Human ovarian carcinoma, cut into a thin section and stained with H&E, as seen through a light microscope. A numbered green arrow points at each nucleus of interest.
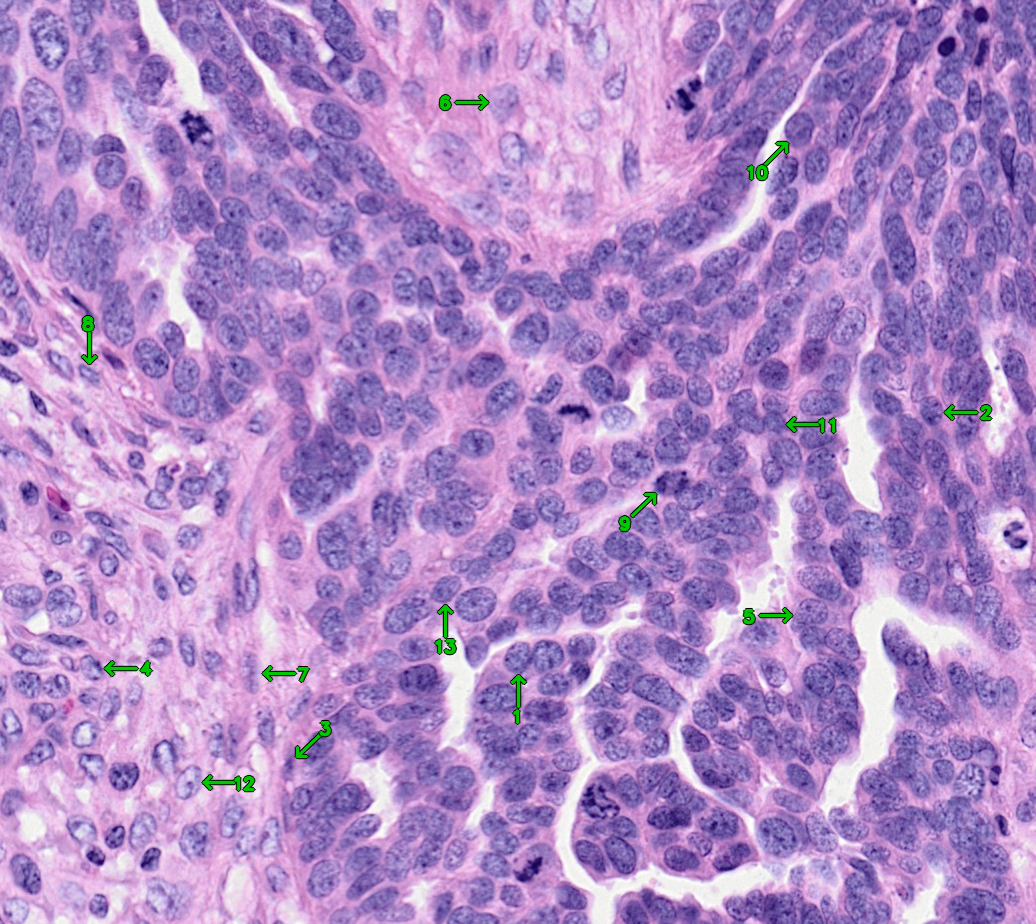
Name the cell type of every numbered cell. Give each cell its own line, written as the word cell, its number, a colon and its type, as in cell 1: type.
cell 1: carcinoma cell
cell 2: carcinoma cell
cell 3: fibroblast
cell 4: fibroblast
cell 5: carcinoma cell
cell 6: fibroblast
cell 7: fibroblast
cell 8: fibroblast
cell 9: carcinoma cell
cell 10: carcinoma cell
cell 11: carcinoma cell
cell 12: fibroblast
cell 13: carcinoma cell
